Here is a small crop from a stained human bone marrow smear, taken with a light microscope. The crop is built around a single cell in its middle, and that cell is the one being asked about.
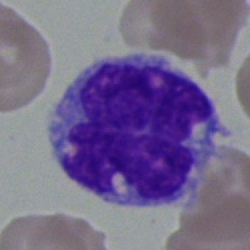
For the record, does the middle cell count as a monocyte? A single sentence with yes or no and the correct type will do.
Yes, the cell at the middle of the frame is a monocyte.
